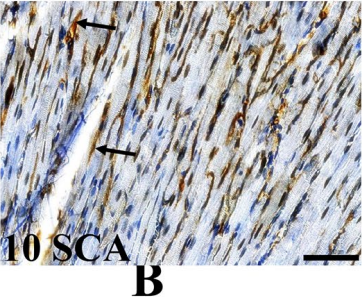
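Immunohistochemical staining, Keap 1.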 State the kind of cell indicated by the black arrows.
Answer: cardiomyocytes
